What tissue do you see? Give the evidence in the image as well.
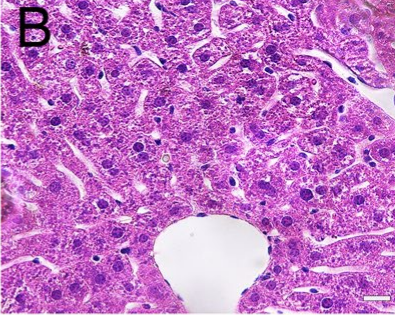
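Plates of large polygonal cells with round central nuclei and pink granular cytoplasm. Narrow sinusoids run between the cell cords. A thin-walled vein lined by flat endothelium.
Answer: liver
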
